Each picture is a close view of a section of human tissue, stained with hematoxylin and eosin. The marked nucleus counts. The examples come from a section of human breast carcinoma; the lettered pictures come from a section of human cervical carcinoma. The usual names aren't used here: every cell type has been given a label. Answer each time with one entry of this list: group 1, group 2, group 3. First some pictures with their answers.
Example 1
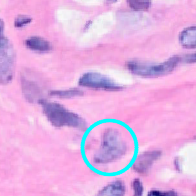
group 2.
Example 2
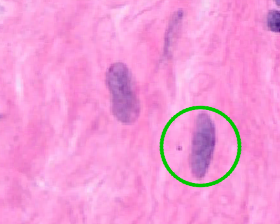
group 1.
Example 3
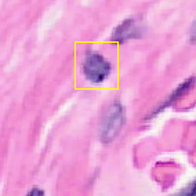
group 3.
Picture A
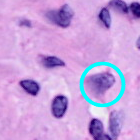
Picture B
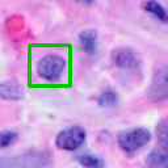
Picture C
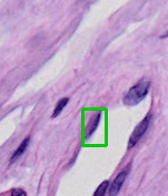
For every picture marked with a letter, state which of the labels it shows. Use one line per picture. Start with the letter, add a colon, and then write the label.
A: group 1.
B: group 3.
C: group 2.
